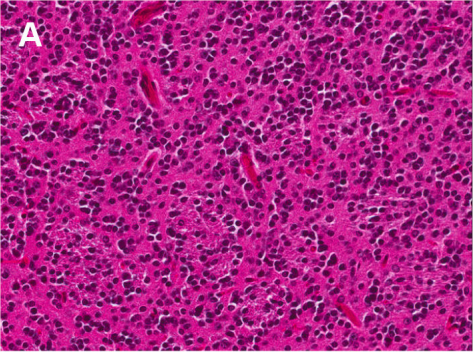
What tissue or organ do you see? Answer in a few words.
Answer: oligodendroglioma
